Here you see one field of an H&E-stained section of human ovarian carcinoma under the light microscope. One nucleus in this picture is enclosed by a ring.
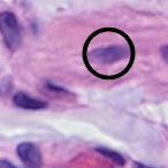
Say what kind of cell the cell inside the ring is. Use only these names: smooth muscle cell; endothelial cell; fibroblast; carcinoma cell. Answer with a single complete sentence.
With respect to cell type, the cell inside the ring is a smooth muscle cell.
